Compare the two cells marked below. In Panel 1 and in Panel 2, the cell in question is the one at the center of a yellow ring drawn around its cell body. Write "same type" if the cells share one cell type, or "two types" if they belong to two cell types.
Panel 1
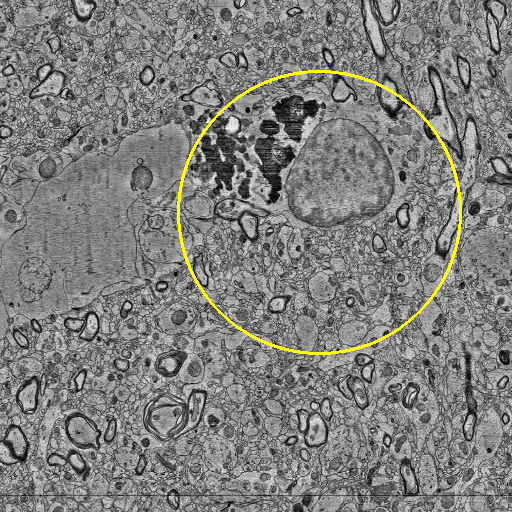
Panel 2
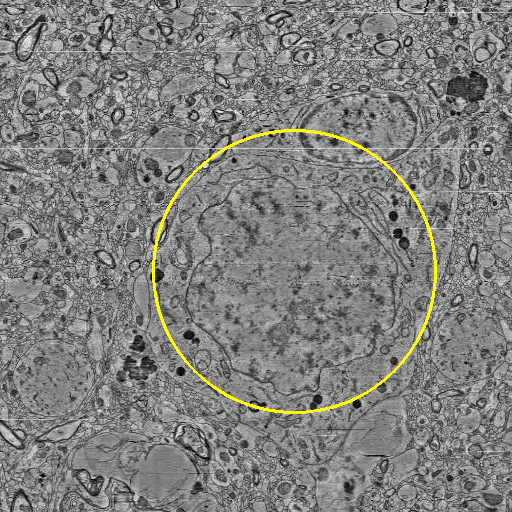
two types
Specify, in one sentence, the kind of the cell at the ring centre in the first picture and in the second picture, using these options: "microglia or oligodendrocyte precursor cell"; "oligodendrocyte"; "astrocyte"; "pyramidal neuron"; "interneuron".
So the first is an oligodendrocyte, the second an interneuron.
